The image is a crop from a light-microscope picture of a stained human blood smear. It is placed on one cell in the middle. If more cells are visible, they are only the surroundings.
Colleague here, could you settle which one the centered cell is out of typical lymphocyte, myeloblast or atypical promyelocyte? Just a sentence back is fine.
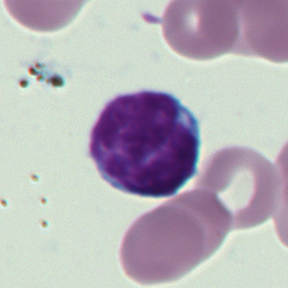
This crop has a typical lymphocyte at its centre.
